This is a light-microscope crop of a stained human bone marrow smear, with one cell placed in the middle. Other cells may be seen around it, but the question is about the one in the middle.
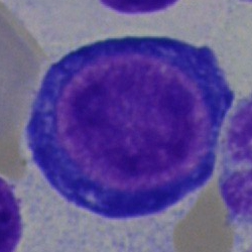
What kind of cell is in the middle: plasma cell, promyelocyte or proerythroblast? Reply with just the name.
proerythroblast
